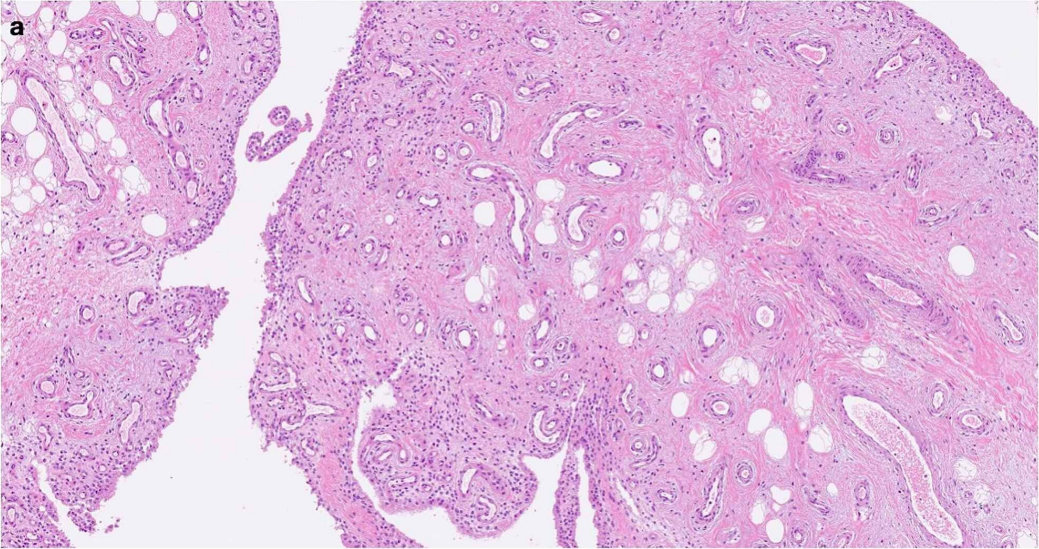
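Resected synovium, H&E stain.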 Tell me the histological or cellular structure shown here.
Villous and nodular configuration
